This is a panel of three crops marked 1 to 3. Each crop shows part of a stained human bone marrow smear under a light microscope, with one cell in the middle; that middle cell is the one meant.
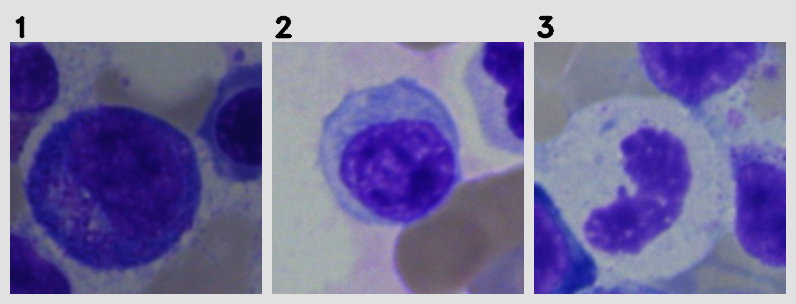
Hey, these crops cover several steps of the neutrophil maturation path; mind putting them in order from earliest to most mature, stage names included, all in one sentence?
Maturity increases along the sequence crop 1 (a promyelocyte), crop 2 (a myelocyte) and crop 3 (a band neutrophil).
